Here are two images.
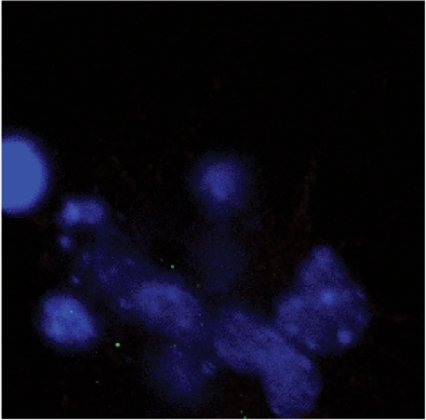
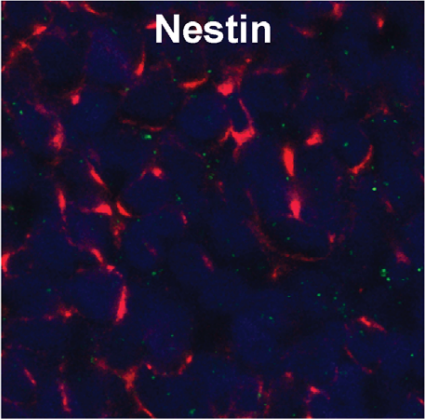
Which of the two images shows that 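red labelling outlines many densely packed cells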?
The second image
